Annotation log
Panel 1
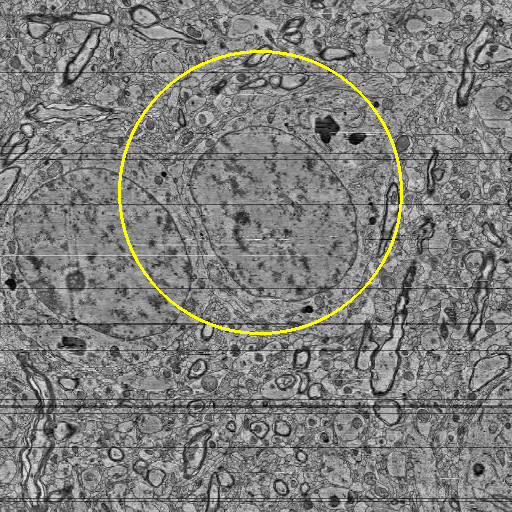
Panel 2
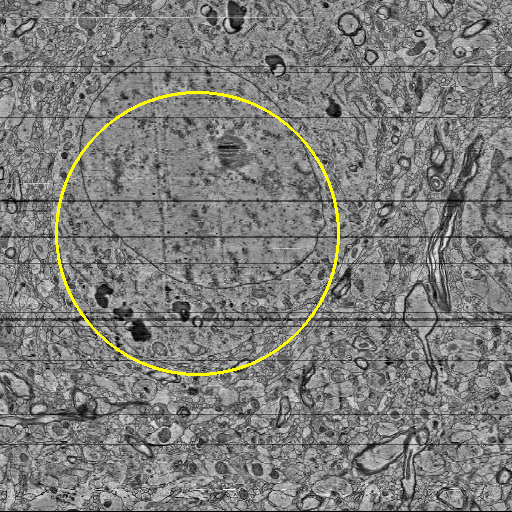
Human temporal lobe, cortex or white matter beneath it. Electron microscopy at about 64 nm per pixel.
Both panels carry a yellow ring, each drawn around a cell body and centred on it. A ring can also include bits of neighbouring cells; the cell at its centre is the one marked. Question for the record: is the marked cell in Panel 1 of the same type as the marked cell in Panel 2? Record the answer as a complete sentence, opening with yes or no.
Yes, the marked cells in Panel 1 and Panel 2 are of the same type.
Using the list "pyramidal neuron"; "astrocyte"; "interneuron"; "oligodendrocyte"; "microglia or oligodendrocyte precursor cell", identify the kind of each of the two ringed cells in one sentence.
The first and the second cell are each a pyramidal neuron.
